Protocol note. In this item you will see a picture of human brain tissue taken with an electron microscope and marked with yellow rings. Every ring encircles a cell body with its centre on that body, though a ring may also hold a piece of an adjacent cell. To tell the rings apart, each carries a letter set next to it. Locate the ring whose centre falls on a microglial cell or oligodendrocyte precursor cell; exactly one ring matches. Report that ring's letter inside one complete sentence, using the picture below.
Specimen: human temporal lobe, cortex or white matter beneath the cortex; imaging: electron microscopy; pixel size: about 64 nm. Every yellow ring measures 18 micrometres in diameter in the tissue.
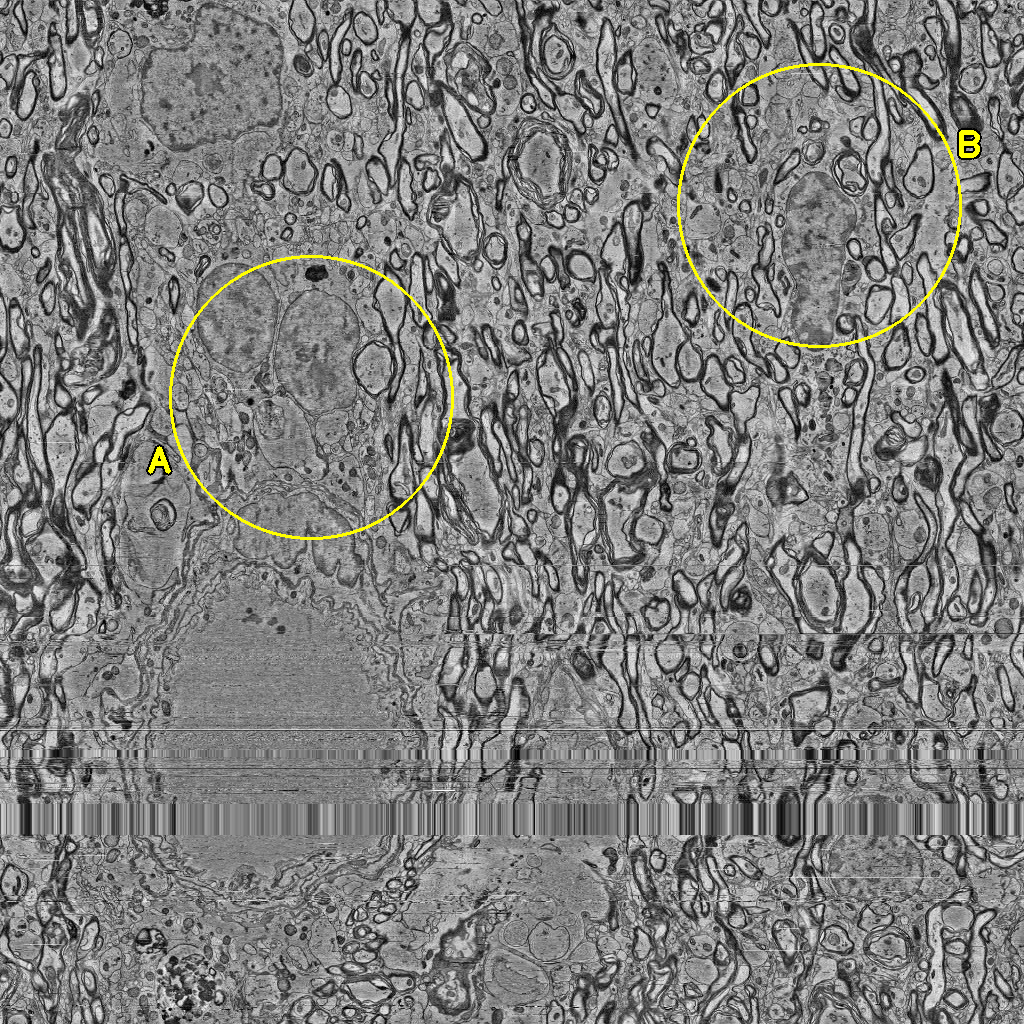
My answer is B, the ring whose centre falls on that kind of cell.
